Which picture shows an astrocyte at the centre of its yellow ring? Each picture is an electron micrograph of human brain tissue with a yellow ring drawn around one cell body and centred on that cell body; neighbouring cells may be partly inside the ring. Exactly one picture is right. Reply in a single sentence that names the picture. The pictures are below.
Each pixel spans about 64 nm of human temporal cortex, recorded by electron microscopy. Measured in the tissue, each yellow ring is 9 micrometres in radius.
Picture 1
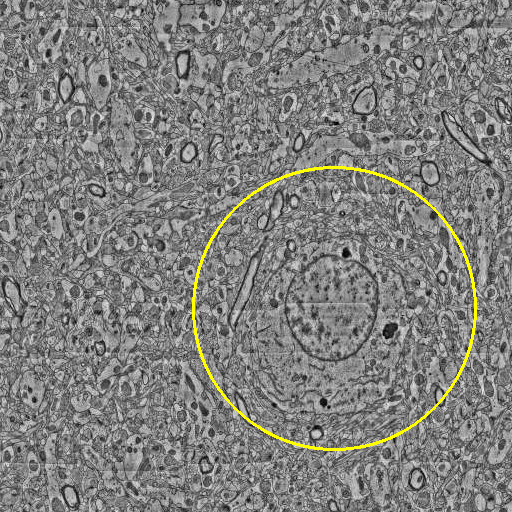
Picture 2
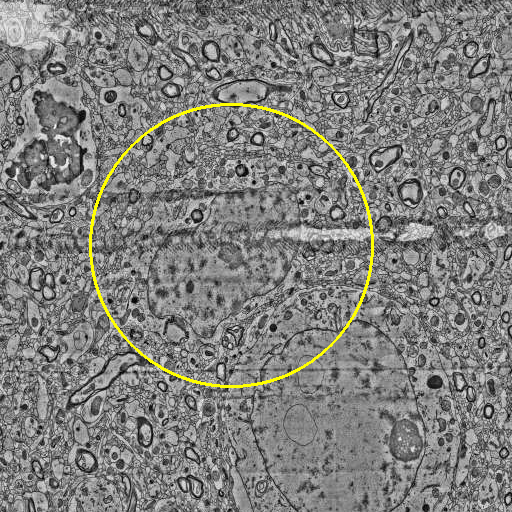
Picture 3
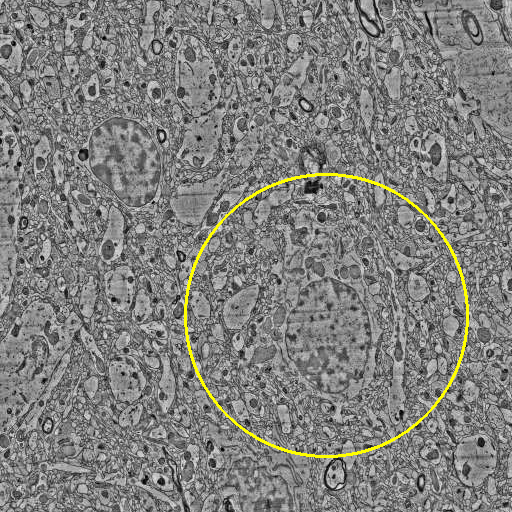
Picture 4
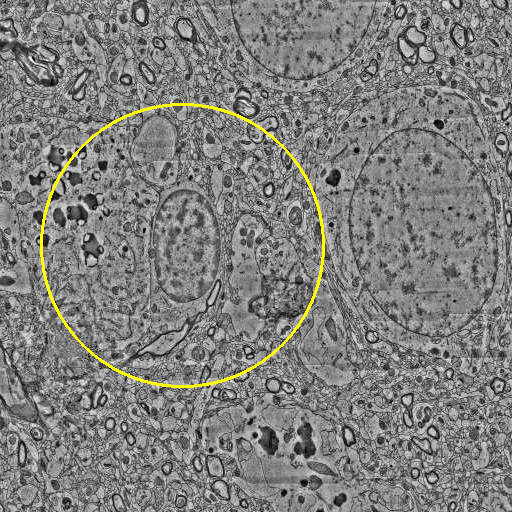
Picture 3 shows it.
